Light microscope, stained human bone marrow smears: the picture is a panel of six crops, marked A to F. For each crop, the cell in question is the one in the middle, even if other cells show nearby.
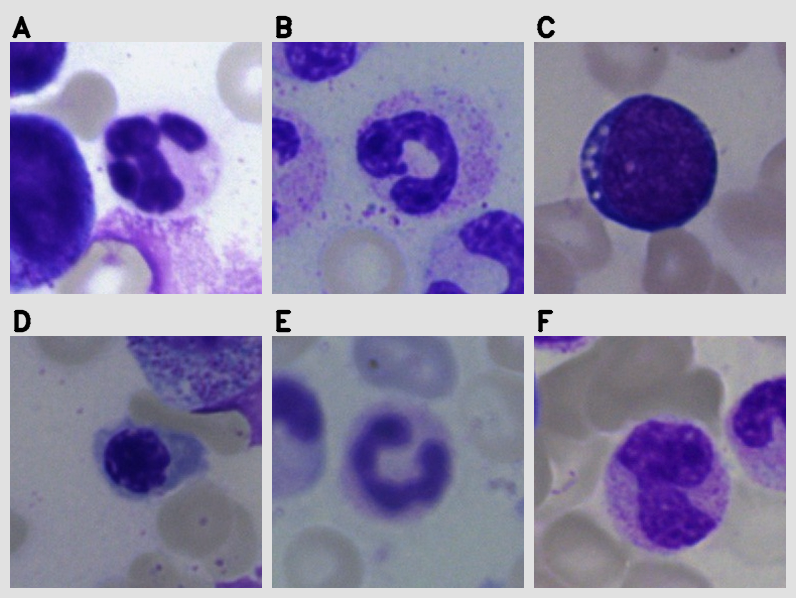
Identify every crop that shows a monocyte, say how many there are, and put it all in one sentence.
The crops contain no monocytes, so the count is zero.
